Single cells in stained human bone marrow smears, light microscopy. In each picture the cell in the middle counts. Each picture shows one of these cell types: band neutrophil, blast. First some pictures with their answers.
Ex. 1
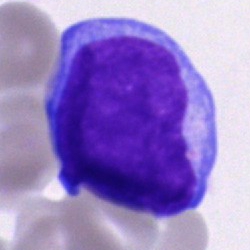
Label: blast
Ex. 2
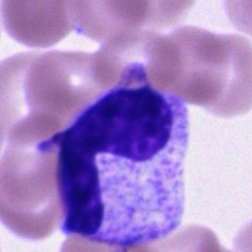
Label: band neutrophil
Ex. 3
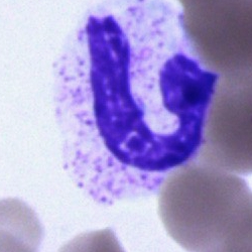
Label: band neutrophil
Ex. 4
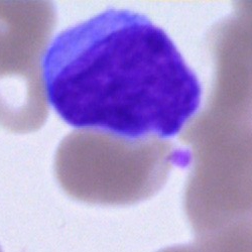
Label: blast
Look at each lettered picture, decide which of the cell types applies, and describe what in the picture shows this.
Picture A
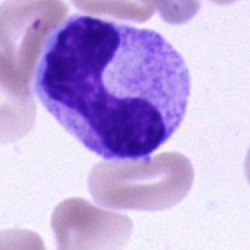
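Label: band neutrophil. The nucleus is a thick curved band bent around the upper right part of the cell.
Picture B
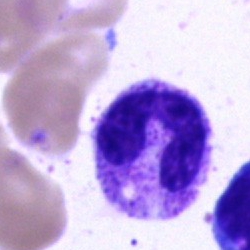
Label: band neutrophil. The chromatin is dark purple and coarsely clumped.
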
